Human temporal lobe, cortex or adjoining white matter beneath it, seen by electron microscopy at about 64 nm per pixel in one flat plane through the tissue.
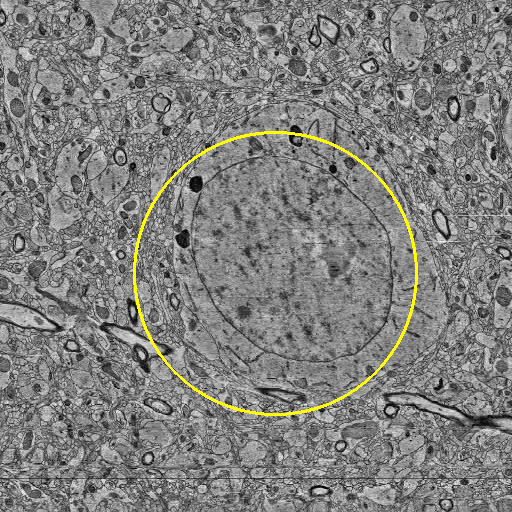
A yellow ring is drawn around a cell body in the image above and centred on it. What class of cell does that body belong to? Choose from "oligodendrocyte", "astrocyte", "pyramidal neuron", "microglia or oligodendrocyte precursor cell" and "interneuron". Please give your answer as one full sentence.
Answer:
The yellow ring above is centred on the cell body of a pyramidal neuron.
